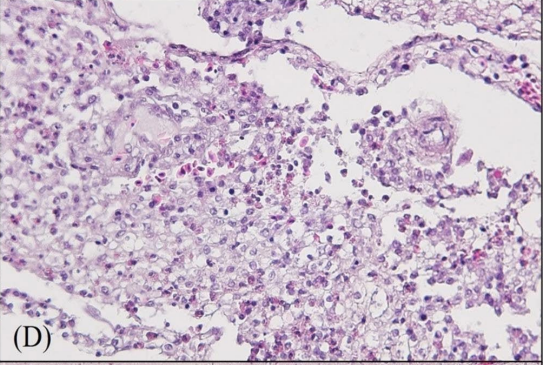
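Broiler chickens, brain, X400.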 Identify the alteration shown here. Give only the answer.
Purulent meningitis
